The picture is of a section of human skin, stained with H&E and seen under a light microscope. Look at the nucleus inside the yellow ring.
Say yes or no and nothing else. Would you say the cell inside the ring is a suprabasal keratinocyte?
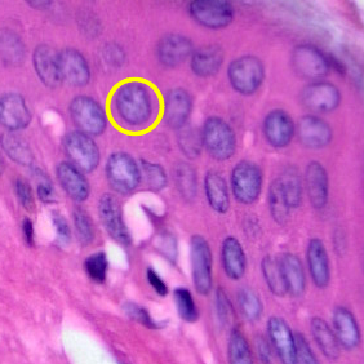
yes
